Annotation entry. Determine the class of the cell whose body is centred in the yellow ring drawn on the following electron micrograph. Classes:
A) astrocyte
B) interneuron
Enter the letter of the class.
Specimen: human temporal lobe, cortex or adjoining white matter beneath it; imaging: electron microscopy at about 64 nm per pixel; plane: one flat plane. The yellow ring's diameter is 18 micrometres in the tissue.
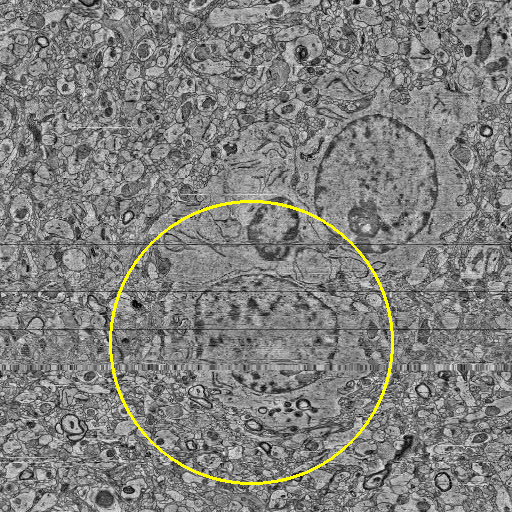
A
